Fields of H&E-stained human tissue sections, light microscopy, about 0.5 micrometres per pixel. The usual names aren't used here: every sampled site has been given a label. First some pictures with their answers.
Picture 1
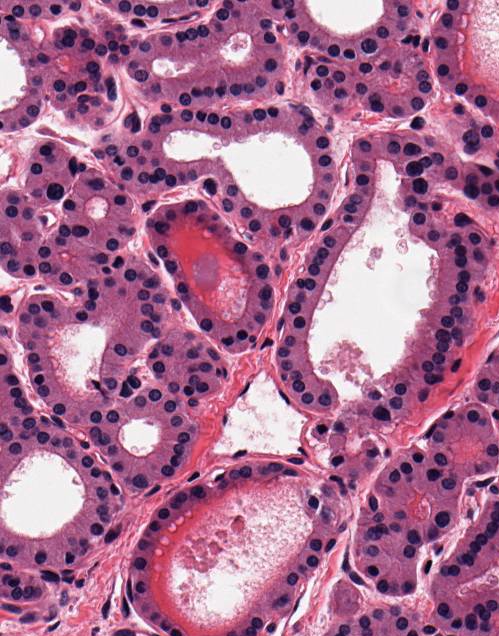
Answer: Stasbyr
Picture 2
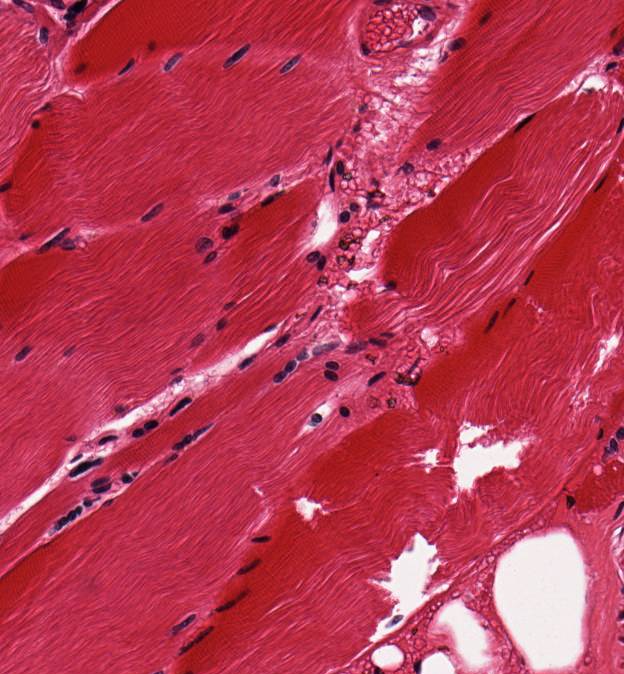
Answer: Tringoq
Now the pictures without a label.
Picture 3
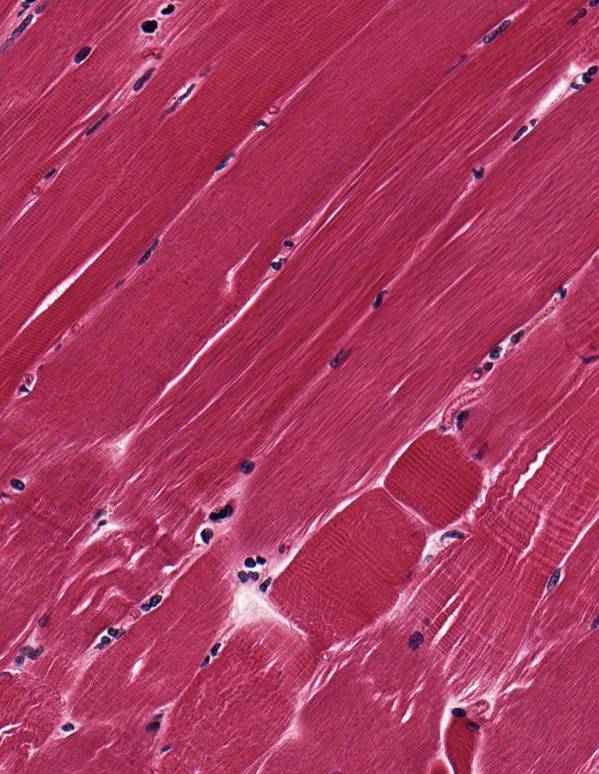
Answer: Tringoq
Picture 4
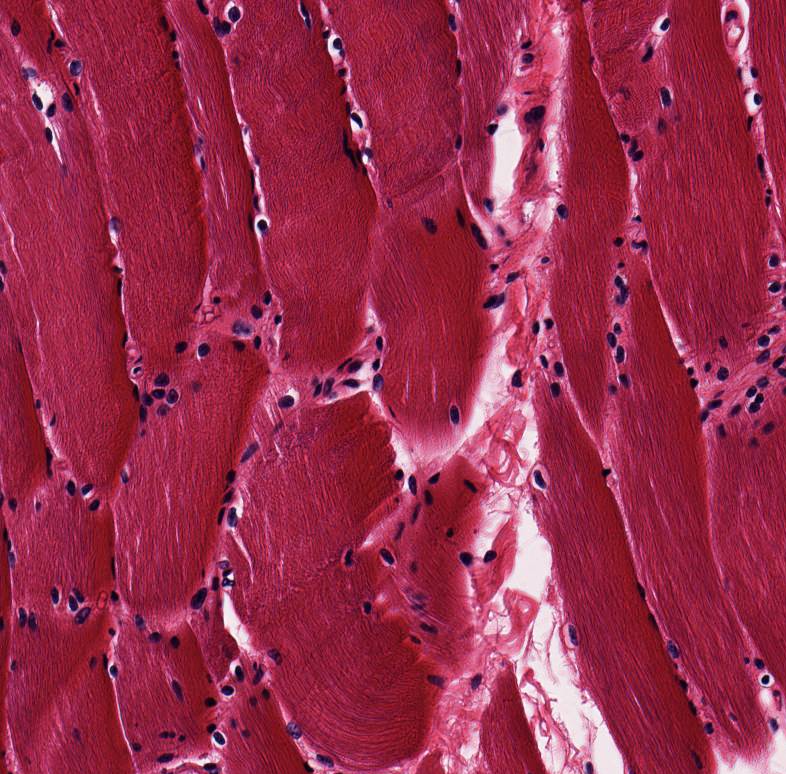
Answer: Tringoq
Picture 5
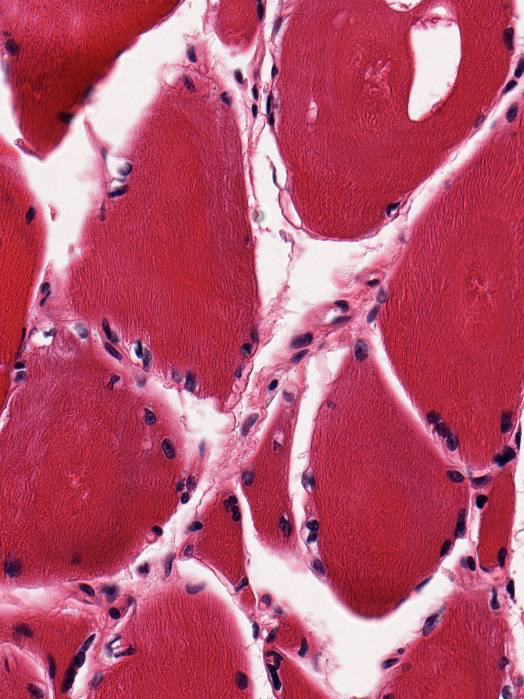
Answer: Tringoq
